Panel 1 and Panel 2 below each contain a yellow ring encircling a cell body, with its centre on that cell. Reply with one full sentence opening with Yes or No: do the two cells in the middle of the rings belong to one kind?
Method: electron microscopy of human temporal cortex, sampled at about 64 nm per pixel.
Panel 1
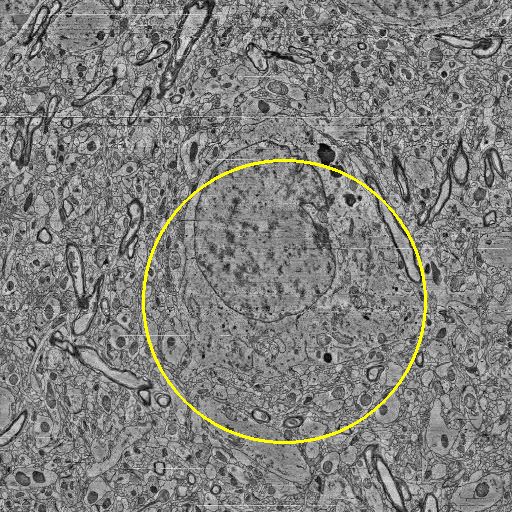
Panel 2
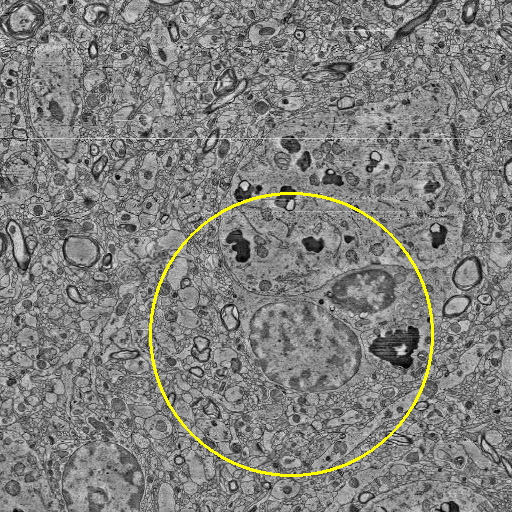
No, the cells at the middle of the Panel 1 ring and the Panel 2 ring are of two kinds.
